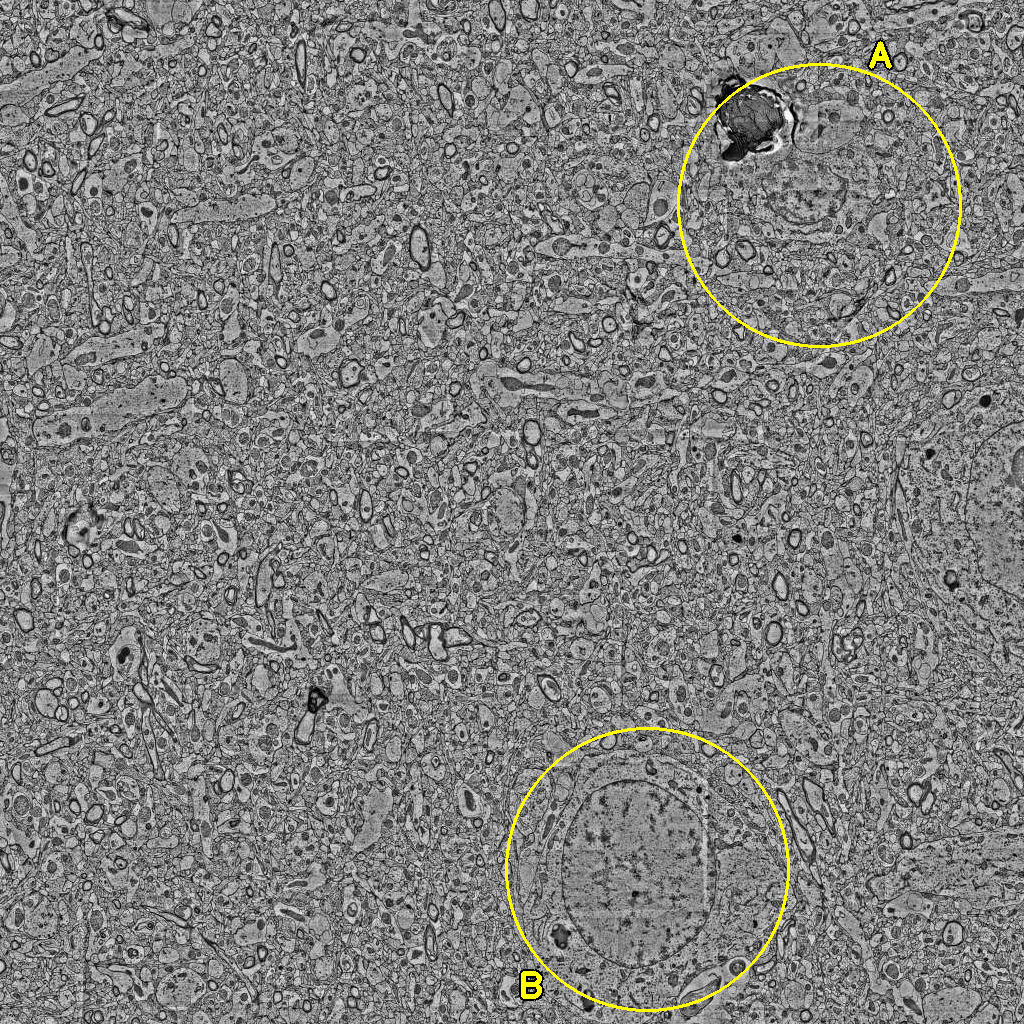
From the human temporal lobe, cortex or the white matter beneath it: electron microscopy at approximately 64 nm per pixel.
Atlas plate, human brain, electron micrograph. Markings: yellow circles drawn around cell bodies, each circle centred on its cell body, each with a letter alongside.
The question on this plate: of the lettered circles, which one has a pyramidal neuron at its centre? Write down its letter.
B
